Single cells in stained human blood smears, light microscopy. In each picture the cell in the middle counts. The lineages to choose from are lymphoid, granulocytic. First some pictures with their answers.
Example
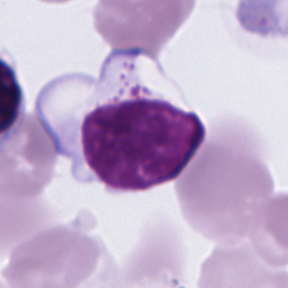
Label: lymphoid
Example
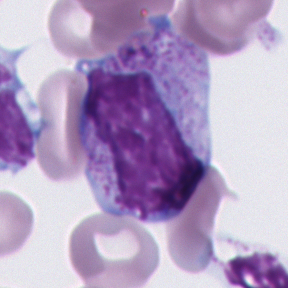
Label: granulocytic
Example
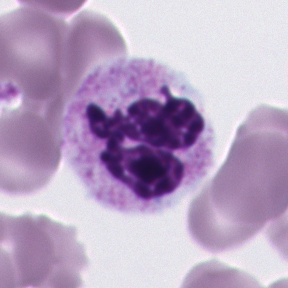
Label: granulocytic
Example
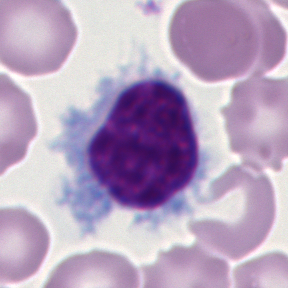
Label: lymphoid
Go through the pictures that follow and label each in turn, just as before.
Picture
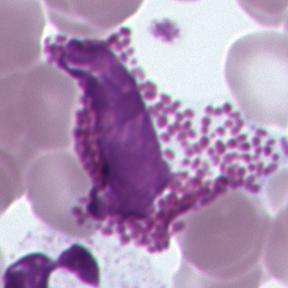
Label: granulocytic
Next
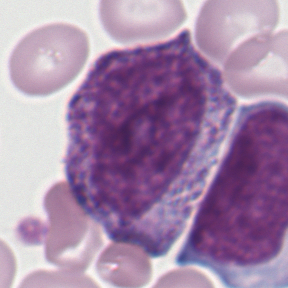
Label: granulocytic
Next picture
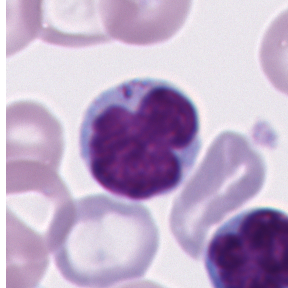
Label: lymphoid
